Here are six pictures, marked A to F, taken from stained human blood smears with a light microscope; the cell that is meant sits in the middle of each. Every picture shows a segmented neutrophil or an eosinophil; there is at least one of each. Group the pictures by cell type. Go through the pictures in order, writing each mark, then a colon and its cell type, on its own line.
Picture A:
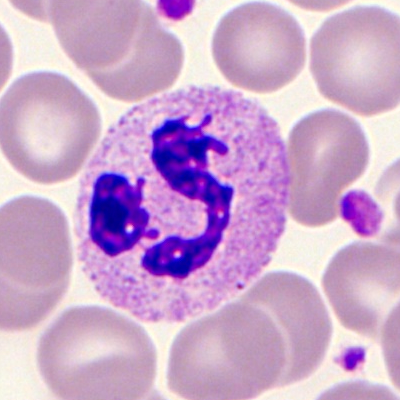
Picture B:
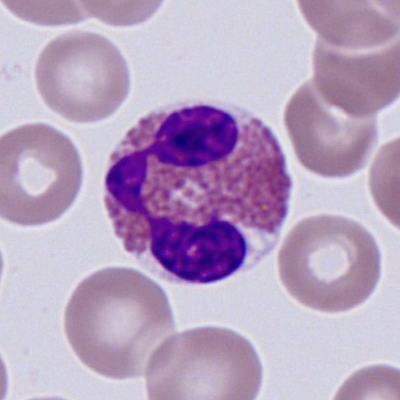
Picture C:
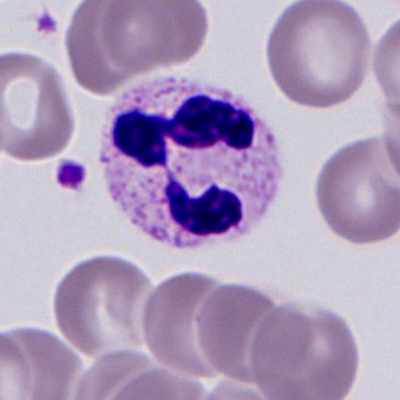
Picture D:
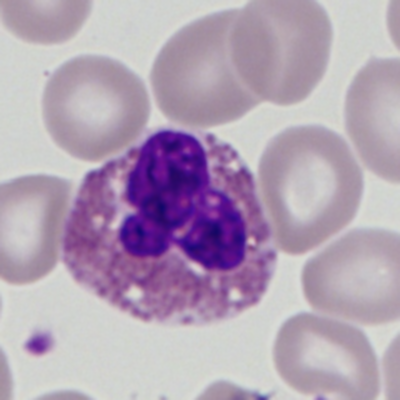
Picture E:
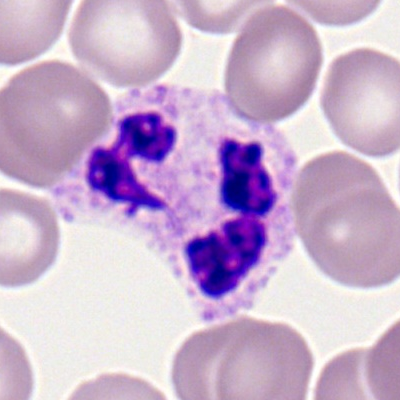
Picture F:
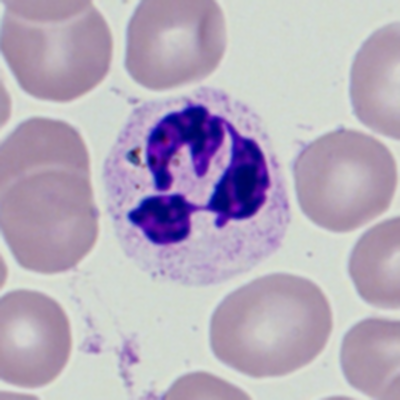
A: segmented neutrophil
B: eosinophil
C: segmented neutrophil
D: eosinophil
E: segmented neutrophil
F: segmented neutrophil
